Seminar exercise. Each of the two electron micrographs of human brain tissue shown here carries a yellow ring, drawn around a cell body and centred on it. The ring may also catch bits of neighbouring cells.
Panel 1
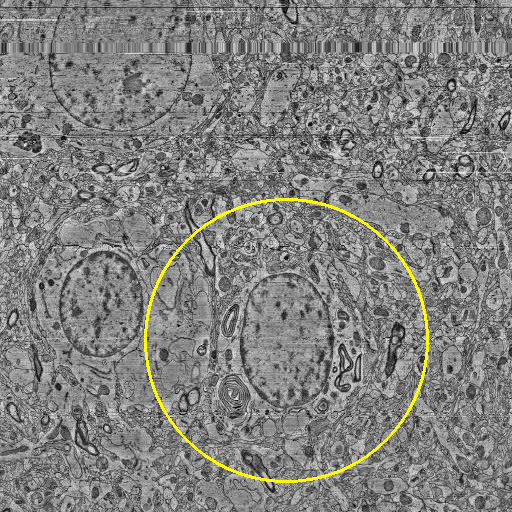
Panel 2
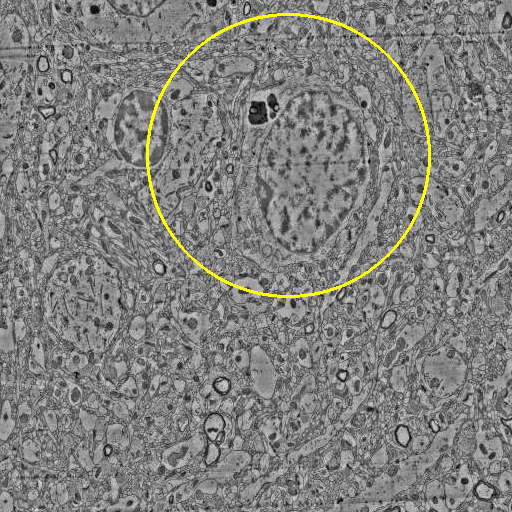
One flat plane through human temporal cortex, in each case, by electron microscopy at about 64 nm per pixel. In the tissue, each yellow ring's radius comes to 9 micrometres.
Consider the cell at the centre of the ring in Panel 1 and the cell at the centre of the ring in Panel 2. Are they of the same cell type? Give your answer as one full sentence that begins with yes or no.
No, the two cells are of two types.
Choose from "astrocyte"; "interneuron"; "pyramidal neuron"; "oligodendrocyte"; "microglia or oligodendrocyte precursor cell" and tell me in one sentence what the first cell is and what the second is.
What the first ring is centred on is an astrocyte; what the second ring is centred on is an interneuron.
